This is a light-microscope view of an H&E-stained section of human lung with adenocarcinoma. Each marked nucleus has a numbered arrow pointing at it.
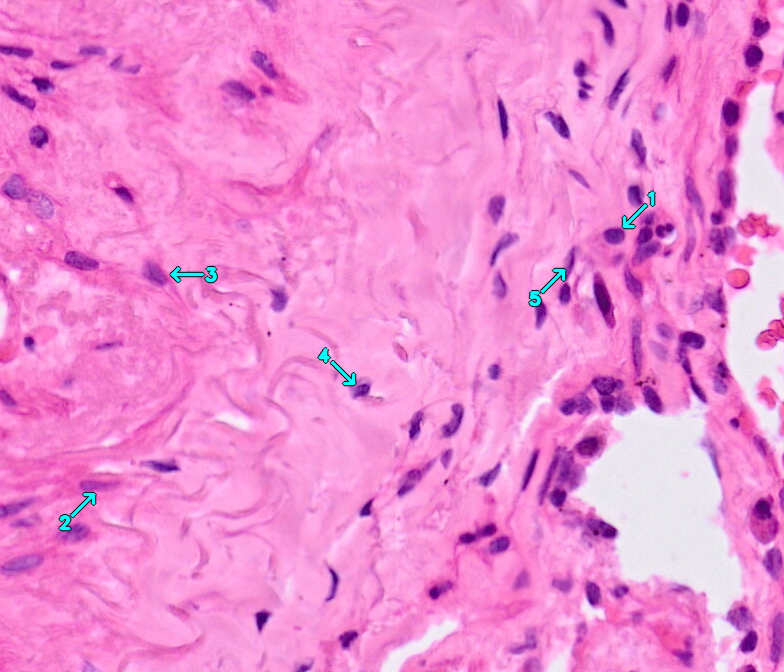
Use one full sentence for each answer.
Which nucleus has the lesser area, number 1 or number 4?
Nucleus 4 covers less area, with nucleus 1 about 1.5 times as large.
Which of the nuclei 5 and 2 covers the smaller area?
Nucleus 5 is the smaller one; nucleus 2 covers about 1.5 times its area.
